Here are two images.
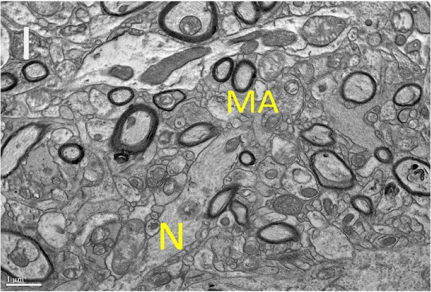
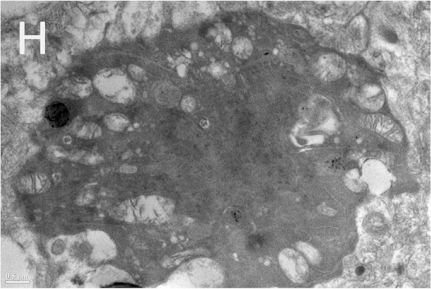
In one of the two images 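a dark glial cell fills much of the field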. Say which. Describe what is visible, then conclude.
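First image: neuropil of myelinated axons and pale processes without any dense cell profile. Second image: a large, very dark cell profile with vacuoles occupies most of the field.
Answer: the second image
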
